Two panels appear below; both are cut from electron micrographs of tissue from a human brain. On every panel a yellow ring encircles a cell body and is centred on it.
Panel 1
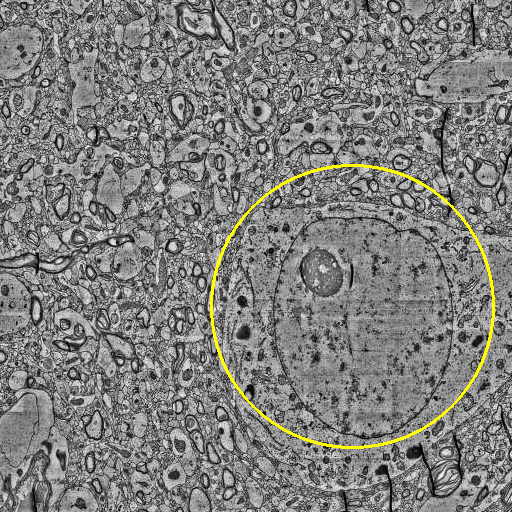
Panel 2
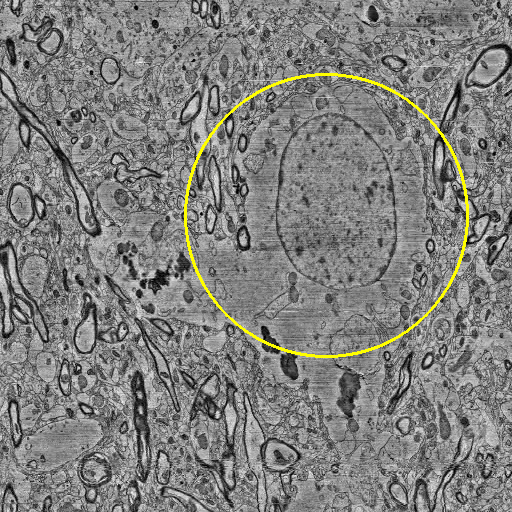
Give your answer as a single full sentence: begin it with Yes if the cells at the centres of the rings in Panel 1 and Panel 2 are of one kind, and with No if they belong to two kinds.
No, the cells in the middle of the rings in Panels 1 and 2 are of two kinds.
